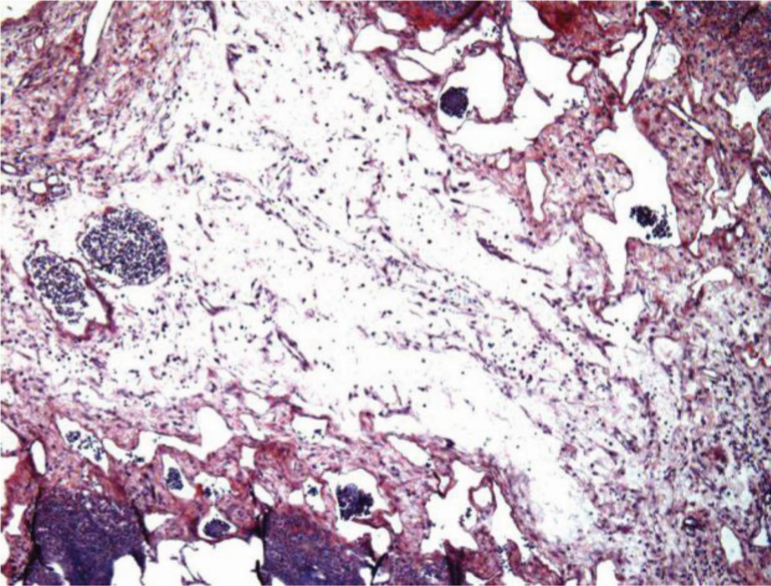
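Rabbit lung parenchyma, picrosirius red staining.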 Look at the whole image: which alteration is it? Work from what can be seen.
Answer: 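Accentuated stromal edema. A wide pale, loose, widely spaced area of stroma in the middle. Sparse fibres and scattered cells in the pale area. More compact alveolar tissue at the edges.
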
